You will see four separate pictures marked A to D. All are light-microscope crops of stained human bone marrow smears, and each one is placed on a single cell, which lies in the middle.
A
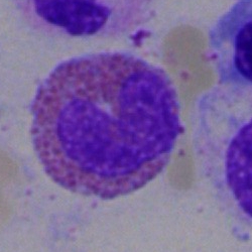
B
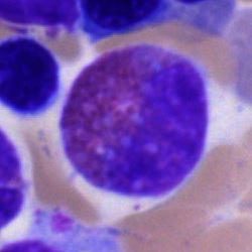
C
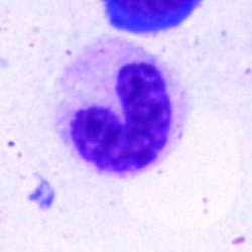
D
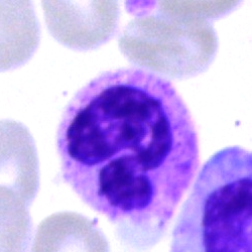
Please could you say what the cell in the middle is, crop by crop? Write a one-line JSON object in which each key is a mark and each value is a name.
{"A": "eosinophil", "B": "eosinophil", "C": "band neutrophil", "D": "segmented neutrophil"}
